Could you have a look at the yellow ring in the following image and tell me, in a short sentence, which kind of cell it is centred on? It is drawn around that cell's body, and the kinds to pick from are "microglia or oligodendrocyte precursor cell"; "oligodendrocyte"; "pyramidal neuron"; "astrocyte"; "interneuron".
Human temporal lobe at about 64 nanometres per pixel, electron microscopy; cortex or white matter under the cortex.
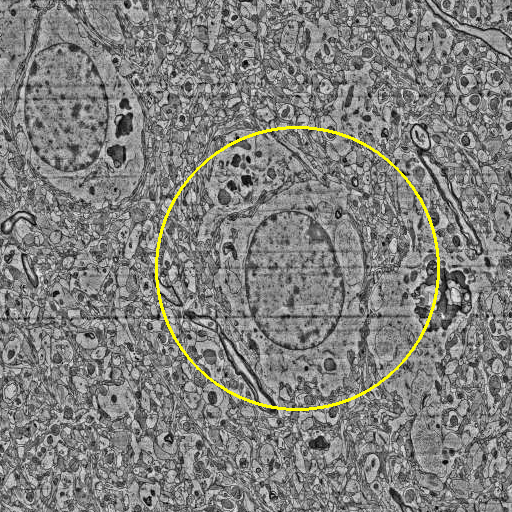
The ring is centred on the body of an astrocyte.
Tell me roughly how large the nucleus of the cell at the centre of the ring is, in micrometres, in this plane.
In this plane, the nucleus of the cell at the centre of the ring measures about 9 by 6 micrometres.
